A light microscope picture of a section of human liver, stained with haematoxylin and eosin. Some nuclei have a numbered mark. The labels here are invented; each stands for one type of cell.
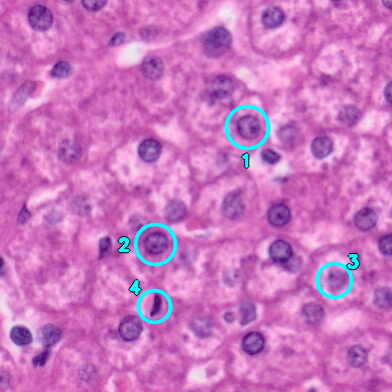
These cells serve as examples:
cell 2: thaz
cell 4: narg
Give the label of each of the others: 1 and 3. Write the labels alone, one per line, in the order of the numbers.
thaz
thaz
